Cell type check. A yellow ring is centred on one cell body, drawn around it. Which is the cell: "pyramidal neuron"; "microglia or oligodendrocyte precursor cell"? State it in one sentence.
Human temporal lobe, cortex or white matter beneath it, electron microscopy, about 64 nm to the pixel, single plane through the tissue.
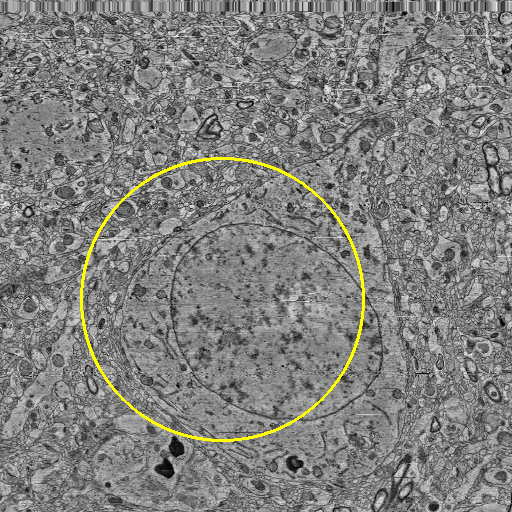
The cell body at the ring's centre belongs to a pyramidal neuron.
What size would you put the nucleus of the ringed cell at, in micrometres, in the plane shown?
The nucleus appears roughly 15 by 12 micrometres in this plane.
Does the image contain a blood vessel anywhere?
No, a blood vessel is absent from this picture.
